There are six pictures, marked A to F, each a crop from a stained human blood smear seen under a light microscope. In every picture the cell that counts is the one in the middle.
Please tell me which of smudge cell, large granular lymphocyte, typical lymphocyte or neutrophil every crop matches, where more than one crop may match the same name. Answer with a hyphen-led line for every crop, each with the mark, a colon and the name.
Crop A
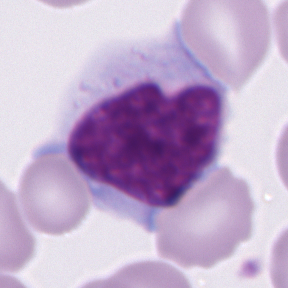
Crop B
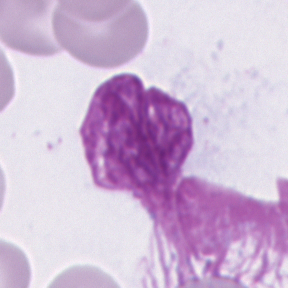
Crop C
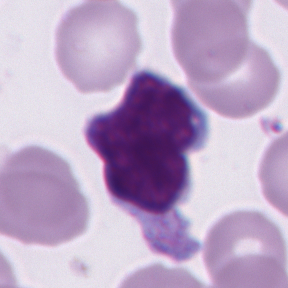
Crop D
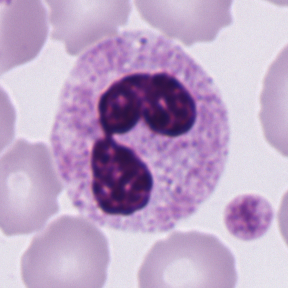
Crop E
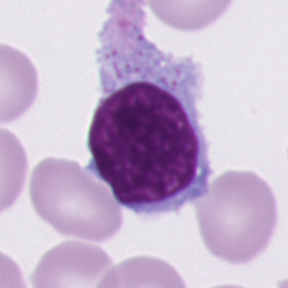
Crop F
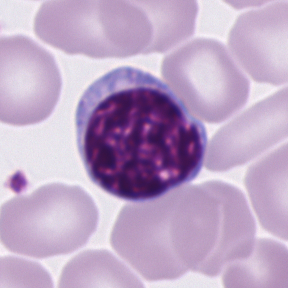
- A: large granular lymphocyte
- B: smudge cell
- C: typical lymphocyte
- D: neutrophil
- E: large granular lymphocyte
- F: typical lymphocyte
